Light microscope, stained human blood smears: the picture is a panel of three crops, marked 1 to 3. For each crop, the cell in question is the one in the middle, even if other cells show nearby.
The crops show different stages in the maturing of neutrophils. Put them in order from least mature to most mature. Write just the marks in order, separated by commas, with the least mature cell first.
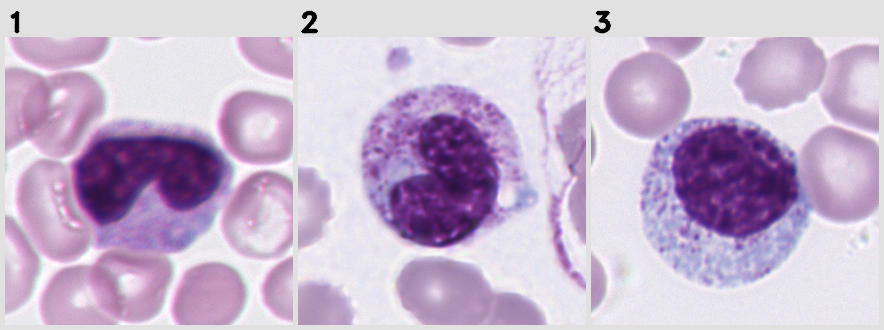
3, 2, 1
